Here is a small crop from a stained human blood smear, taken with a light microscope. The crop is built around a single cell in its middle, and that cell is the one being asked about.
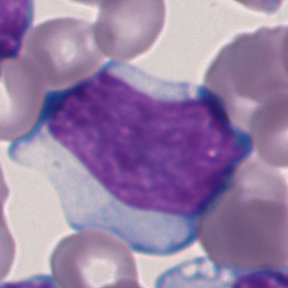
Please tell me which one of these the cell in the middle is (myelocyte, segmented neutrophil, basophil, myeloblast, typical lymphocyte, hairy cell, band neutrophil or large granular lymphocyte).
myeloblast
